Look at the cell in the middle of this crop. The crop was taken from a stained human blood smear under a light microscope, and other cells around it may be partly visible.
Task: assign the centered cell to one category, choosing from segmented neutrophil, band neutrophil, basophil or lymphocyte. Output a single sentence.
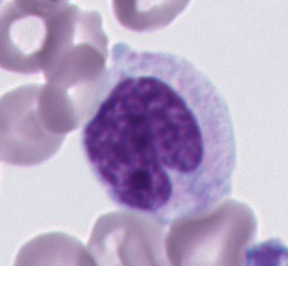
This particular crop is centered on a band neutrophil.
